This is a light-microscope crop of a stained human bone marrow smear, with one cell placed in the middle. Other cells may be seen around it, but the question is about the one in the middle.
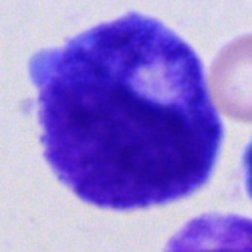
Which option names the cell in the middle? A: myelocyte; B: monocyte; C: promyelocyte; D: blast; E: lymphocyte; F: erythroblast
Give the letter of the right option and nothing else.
C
